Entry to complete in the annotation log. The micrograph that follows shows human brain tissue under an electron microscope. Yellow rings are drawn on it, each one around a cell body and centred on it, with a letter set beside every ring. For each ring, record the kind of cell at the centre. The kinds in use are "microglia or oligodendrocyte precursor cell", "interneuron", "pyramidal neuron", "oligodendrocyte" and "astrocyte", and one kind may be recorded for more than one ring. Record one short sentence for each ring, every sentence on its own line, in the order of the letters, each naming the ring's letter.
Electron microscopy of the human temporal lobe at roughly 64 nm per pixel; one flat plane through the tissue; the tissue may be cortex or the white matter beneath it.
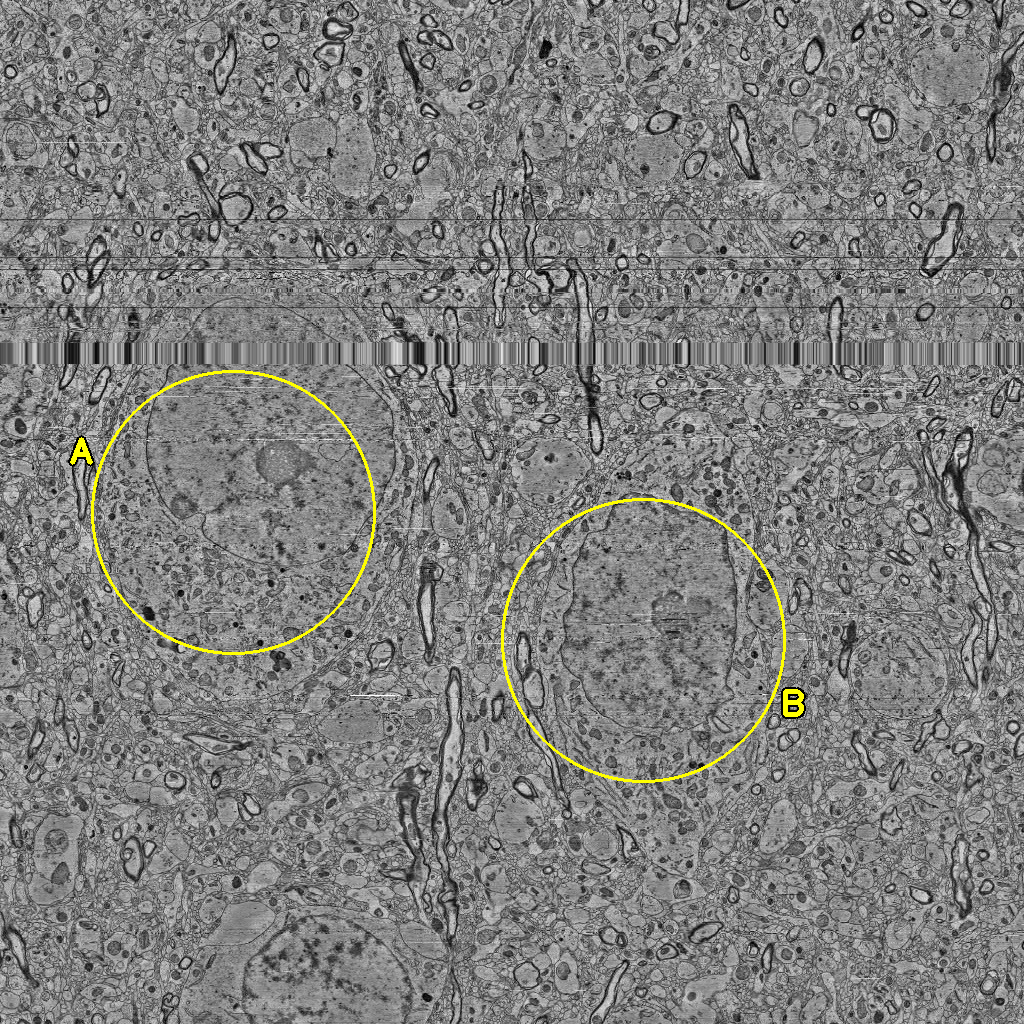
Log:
Ring A is placed around a pyramidal neuron.
Ring B is placed around an interneuron.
